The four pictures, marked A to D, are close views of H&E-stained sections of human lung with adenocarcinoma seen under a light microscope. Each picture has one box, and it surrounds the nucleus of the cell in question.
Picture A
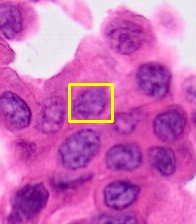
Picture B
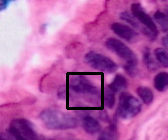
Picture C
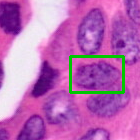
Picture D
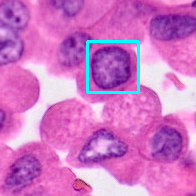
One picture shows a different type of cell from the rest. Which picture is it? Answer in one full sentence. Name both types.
The others show carcinoma cells, but picture B shows a ciliated epithelial cell.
